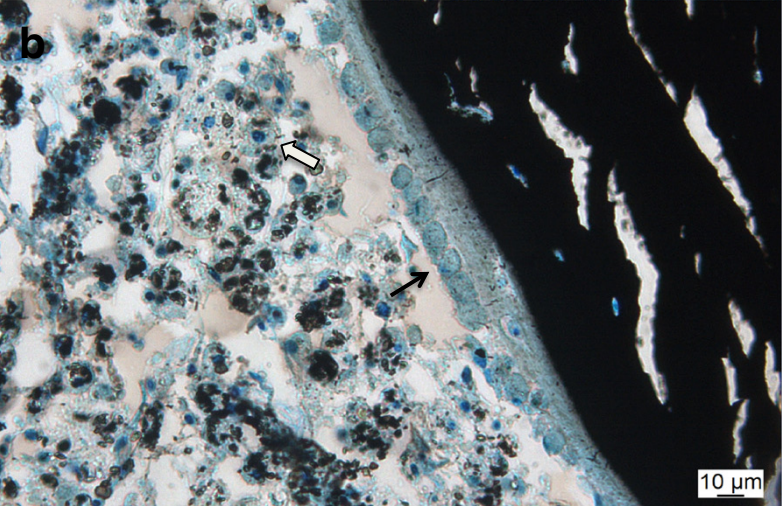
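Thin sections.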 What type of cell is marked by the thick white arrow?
Macrophages.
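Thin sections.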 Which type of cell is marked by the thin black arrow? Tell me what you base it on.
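A layer of cells lies along a pale seam bordering the black-stained bone. The cells form a continuous lining along the bone surface. The answer: osteoblast.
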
